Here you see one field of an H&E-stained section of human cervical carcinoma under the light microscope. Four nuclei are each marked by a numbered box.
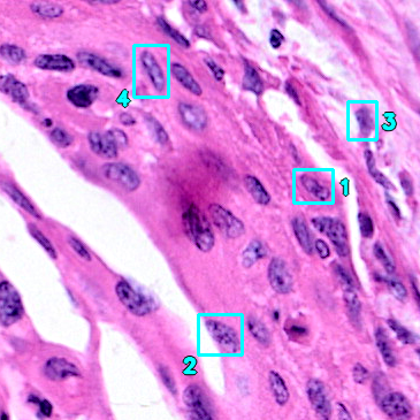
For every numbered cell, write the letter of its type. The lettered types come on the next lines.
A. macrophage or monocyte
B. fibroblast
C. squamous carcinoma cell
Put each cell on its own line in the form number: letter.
1: C
2: C
3: B
4: C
